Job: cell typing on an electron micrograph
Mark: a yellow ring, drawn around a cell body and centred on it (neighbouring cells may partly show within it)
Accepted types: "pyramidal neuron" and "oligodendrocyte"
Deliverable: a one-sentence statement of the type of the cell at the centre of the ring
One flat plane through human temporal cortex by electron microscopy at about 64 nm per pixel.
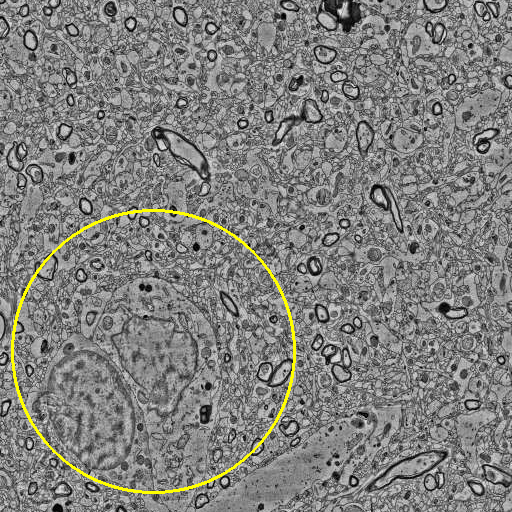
The centred cell body is that of a pyramidal neuron.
